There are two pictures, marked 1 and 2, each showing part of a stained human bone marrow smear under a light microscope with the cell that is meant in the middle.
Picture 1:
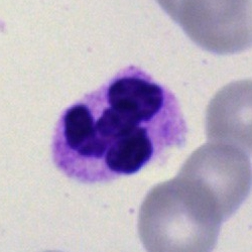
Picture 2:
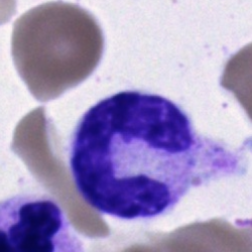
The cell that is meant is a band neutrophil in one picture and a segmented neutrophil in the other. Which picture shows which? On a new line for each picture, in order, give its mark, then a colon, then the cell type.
1: segmented neutrophil
2: band neutrophil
